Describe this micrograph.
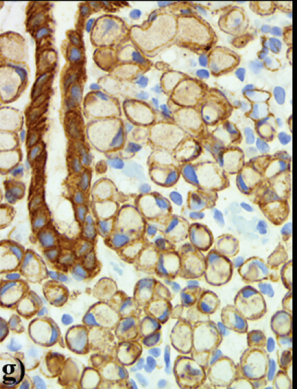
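At high power, many rounded cells lie scattered in the stroma, each outlined by a brown rim of stain around a largely clear cytoplasm, several with a small blue nucleus pressed to one side. At the left, a gland runs vertically, lined by a row of columnar epithelial cells whose cytoplasm stains strongly and evenly brown. Between the rounded cells, unstained stroma shows blue nuclei of other cells.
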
